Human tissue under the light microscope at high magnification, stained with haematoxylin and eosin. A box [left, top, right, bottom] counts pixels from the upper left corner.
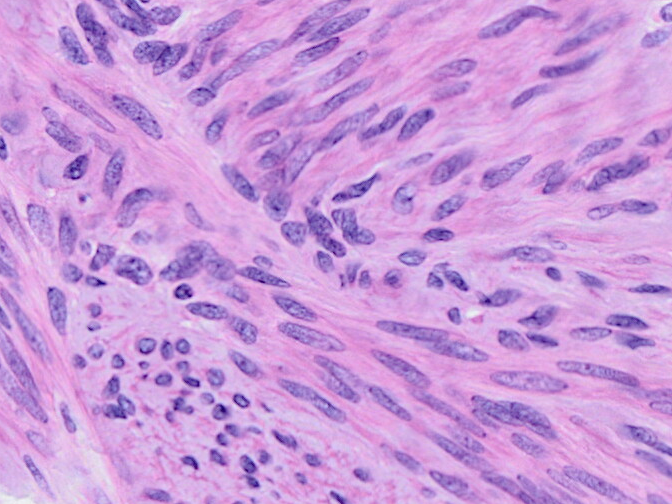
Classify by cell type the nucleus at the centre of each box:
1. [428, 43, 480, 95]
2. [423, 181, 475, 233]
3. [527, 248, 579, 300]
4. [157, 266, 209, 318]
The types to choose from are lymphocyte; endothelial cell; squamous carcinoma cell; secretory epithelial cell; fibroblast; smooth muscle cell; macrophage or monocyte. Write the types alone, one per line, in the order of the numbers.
smooth muscle cell
smooth muscle cell
smooth muscle cell
lymphocyte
